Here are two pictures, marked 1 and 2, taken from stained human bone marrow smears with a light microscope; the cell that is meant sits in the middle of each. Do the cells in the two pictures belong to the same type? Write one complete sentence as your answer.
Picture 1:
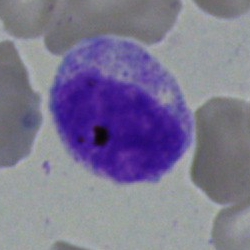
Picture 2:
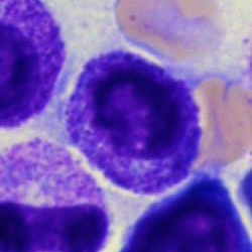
Yes, both are myelocytes.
